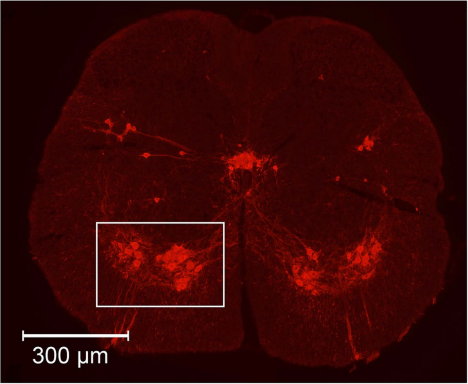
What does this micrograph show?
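This is a whole cross-section of the spinal cord, split into two mirror halves by a midline fissure. In the lower, ventral part of each half lie clusters of large, brightly stained motor neurons, one of them framed by a white box, while a few smaller stained cells sit near the centre of the section and scattered further up.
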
